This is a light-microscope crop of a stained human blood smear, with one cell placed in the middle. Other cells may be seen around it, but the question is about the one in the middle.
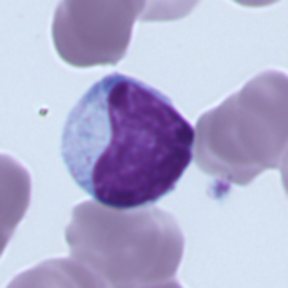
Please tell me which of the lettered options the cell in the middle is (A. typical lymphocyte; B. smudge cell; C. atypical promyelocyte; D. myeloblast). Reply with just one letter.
A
